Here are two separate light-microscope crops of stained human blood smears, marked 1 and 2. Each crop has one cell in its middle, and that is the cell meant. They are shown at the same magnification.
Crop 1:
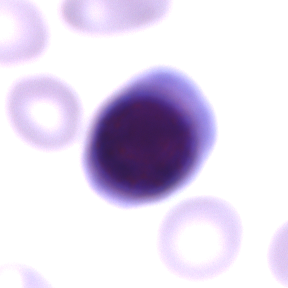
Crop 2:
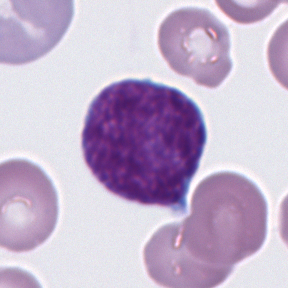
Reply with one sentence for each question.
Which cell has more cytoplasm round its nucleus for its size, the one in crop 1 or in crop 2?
It is the cell in crop 1 that is filled less by its nucleus.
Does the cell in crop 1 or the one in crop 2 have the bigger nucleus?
Crop 2 shows the larger nucleus; it covers about 1.5 times the area of the nucleus in crop 1.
